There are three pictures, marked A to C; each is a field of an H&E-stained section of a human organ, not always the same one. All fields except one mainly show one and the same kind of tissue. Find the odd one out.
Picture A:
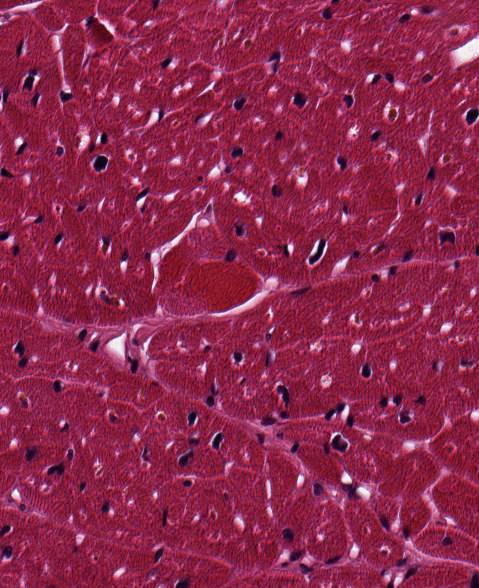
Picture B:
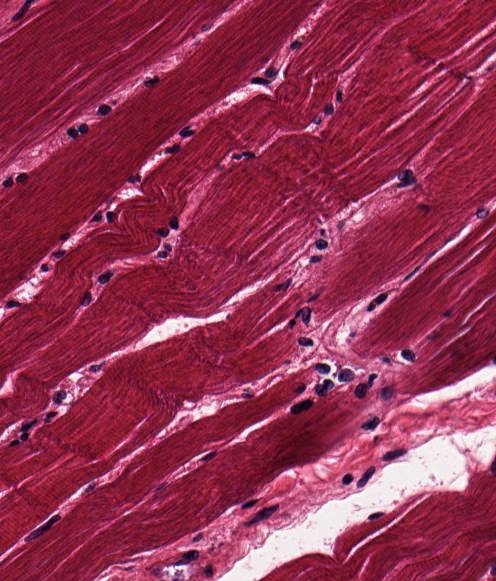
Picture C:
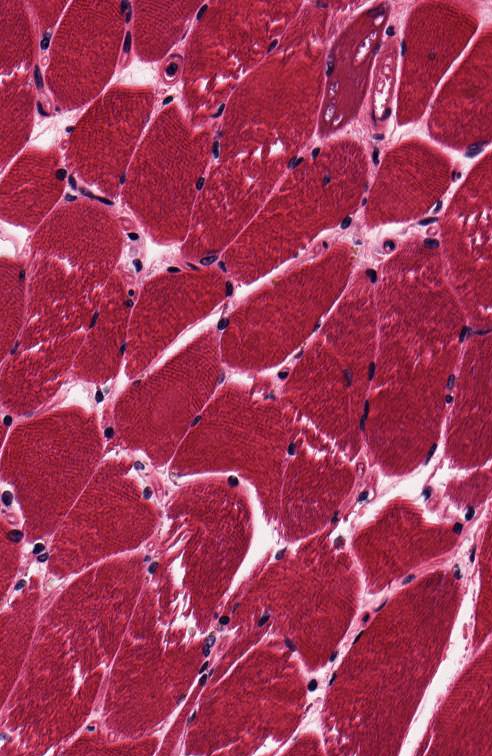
A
